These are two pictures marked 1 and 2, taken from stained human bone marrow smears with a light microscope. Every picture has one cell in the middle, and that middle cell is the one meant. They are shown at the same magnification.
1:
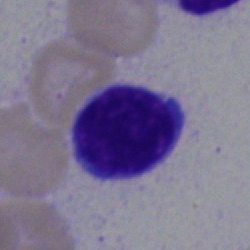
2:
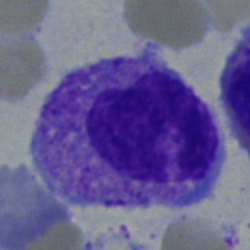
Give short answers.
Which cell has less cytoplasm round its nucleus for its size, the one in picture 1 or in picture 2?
1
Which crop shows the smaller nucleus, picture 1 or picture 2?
1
